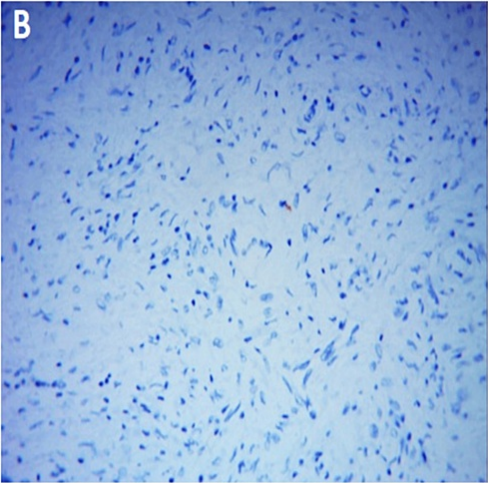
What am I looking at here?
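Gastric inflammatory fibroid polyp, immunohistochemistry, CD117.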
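The stromal cells show no brown staining. Only a single small cell near the upper middle of the field takes up the brown stain, and it stands alone among the unstained stromal cells. This isolated cell is a mast cell, whereas the stromal cells themselves are unstained.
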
